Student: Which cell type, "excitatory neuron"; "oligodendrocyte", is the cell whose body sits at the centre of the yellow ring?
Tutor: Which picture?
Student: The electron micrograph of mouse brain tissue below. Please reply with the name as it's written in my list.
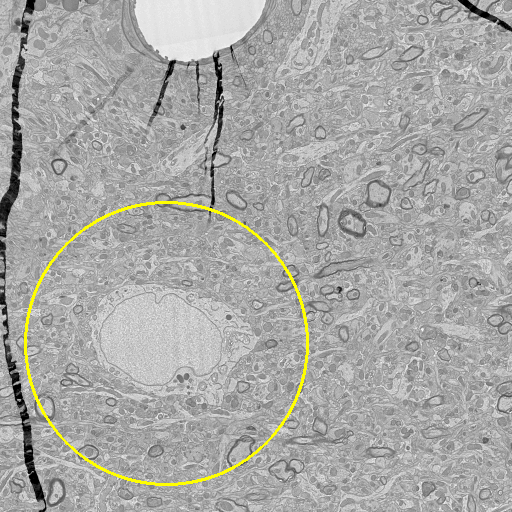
excitatory neuron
